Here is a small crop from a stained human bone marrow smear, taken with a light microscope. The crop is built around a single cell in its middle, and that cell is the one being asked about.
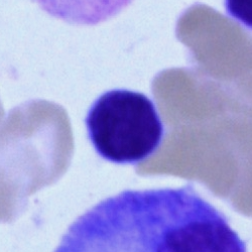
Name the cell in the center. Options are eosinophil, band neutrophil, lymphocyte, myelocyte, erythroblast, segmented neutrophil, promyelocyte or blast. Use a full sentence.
In the centre of this crop there is a lymphocyte.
